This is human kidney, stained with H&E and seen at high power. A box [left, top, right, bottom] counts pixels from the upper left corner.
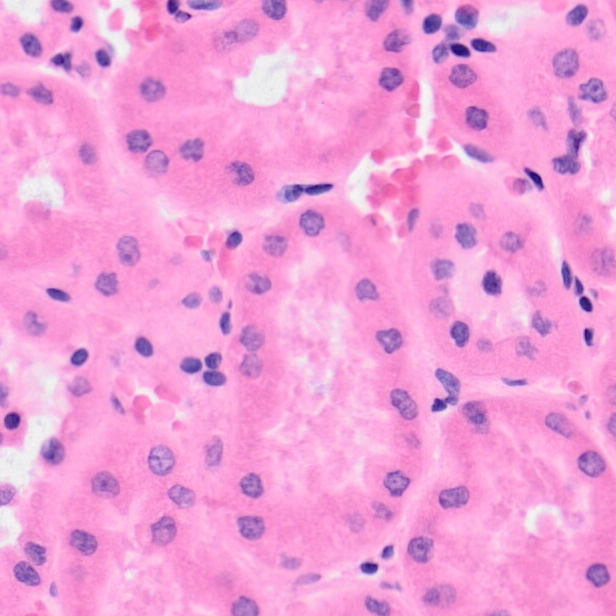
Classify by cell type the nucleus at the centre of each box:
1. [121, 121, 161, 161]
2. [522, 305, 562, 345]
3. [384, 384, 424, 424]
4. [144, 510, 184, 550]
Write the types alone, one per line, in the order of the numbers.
proximal tubule cell
loop of Henle or distal tubule cell
proximal tubule cell
proximal tubule cell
